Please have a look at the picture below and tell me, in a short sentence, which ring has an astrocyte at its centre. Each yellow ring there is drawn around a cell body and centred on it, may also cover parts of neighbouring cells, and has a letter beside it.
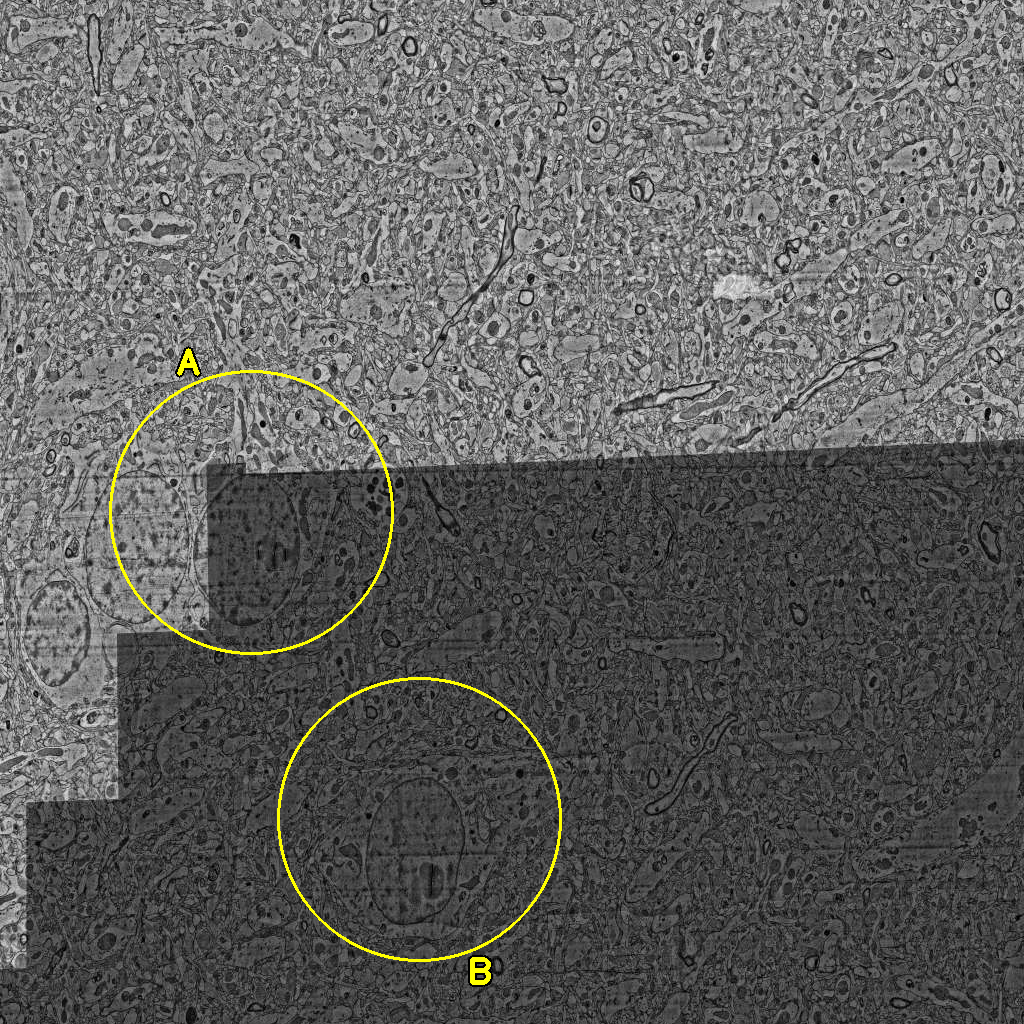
Ring A is centred on it.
